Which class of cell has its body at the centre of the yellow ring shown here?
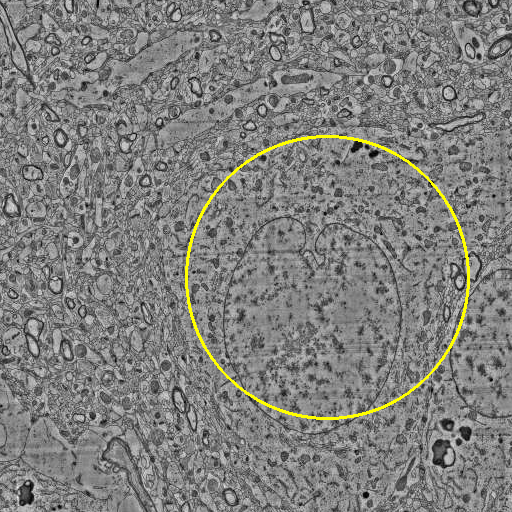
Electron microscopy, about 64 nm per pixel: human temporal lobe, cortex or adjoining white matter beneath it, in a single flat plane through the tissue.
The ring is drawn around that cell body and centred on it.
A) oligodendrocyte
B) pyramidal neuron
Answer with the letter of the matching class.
B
